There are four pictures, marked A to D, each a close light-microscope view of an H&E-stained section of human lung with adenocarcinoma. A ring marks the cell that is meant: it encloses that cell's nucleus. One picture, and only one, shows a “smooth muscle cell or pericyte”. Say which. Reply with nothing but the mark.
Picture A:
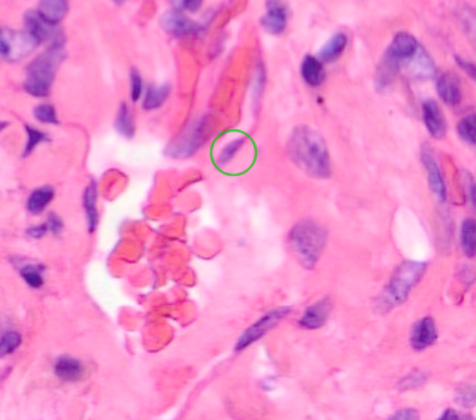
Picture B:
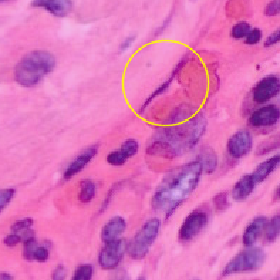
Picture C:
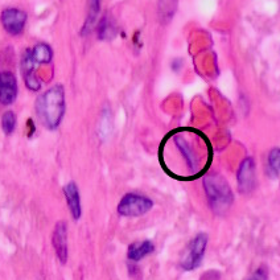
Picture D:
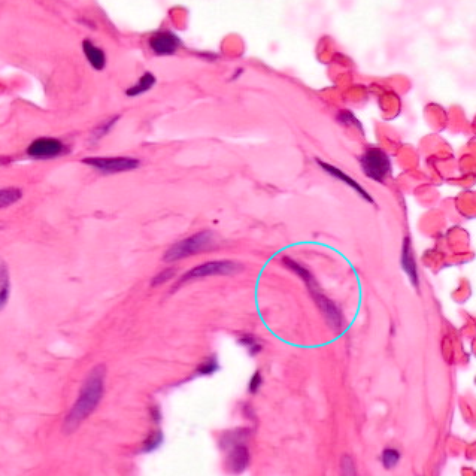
D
